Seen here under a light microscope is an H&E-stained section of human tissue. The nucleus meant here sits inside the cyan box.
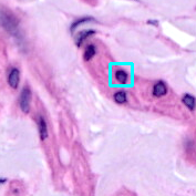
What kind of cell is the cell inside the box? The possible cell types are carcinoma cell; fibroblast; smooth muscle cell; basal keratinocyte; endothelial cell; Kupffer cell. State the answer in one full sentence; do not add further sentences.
For cell typing purposes, the cell inside the box is a smooth muscle cell.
